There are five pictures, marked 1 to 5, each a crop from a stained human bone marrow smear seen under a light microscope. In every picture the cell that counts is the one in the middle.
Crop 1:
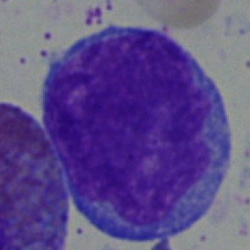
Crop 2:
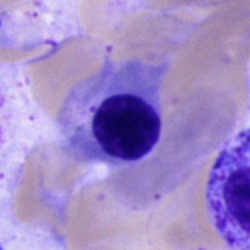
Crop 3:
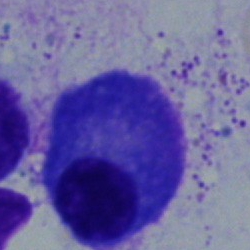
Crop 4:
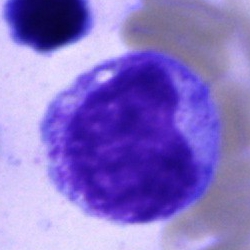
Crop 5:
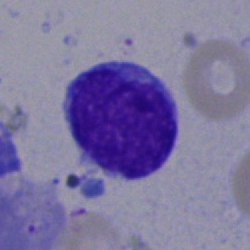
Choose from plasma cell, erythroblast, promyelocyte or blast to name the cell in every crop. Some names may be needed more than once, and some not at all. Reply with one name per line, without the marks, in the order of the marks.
blast
erythroblast
plasma cell
promyelocyte
blast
